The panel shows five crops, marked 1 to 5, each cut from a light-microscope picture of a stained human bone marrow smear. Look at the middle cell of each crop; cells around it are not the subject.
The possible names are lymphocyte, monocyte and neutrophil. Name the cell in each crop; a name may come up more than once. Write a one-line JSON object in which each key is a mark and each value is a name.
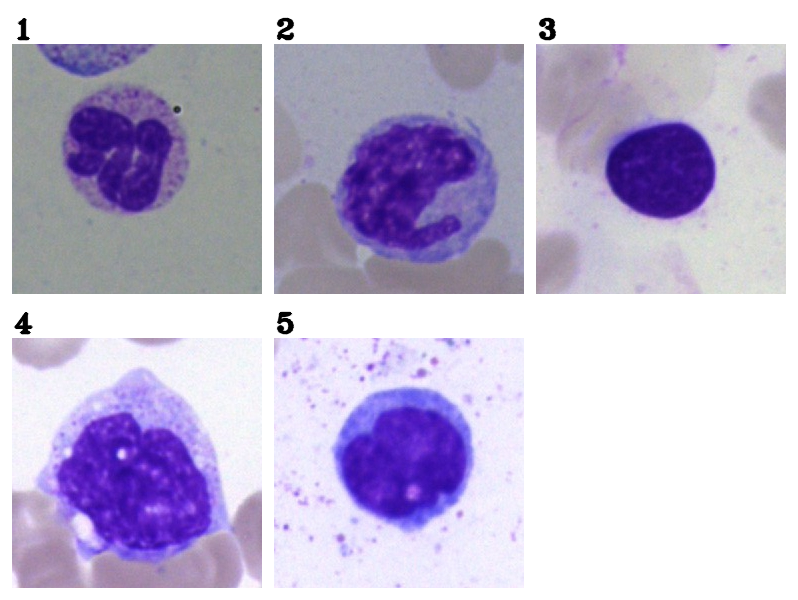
{"1": "neutrophil", "2": "monocyte", "3": "lymphocyte", "4": "monocyte", "5": "monocyte"}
